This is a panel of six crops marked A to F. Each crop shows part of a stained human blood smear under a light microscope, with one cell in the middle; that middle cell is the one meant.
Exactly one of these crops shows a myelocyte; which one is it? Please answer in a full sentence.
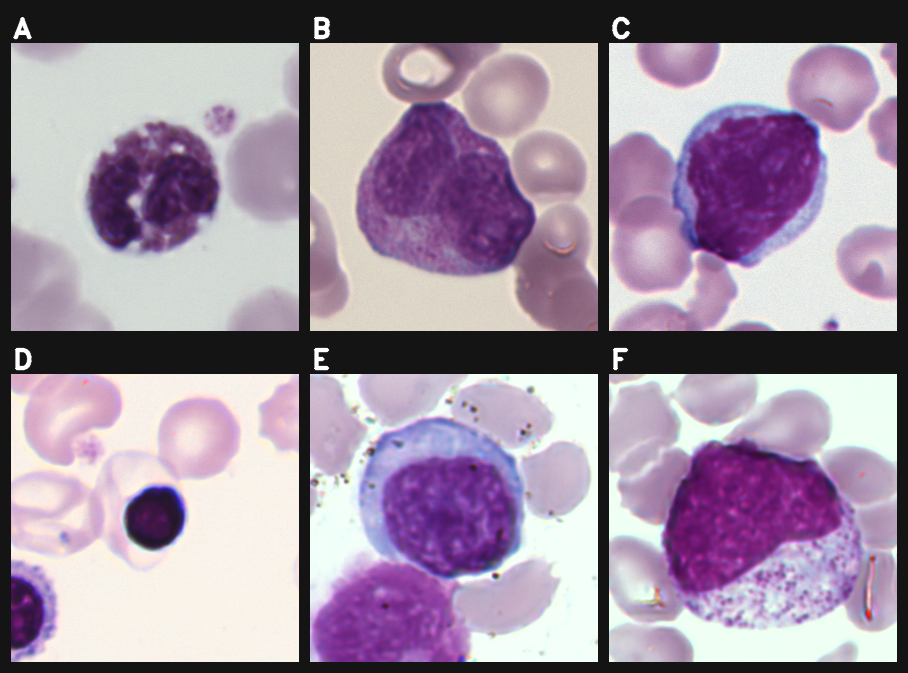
It is in crop F that a myelocyte is shown.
